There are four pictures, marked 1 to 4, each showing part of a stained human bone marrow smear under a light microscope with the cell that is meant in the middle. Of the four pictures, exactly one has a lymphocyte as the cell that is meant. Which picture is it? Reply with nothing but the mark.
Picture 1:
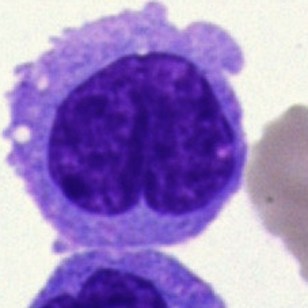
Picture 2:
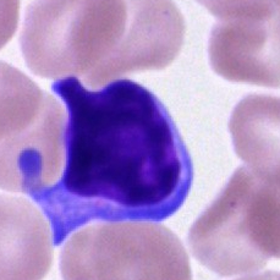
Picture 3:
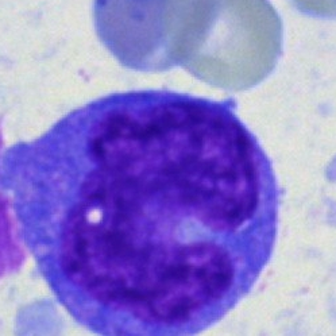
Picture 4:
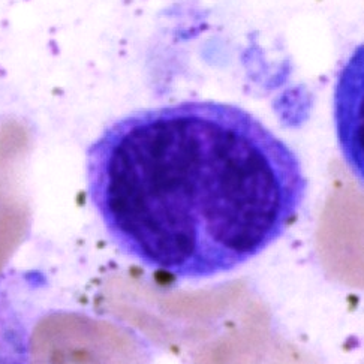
2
